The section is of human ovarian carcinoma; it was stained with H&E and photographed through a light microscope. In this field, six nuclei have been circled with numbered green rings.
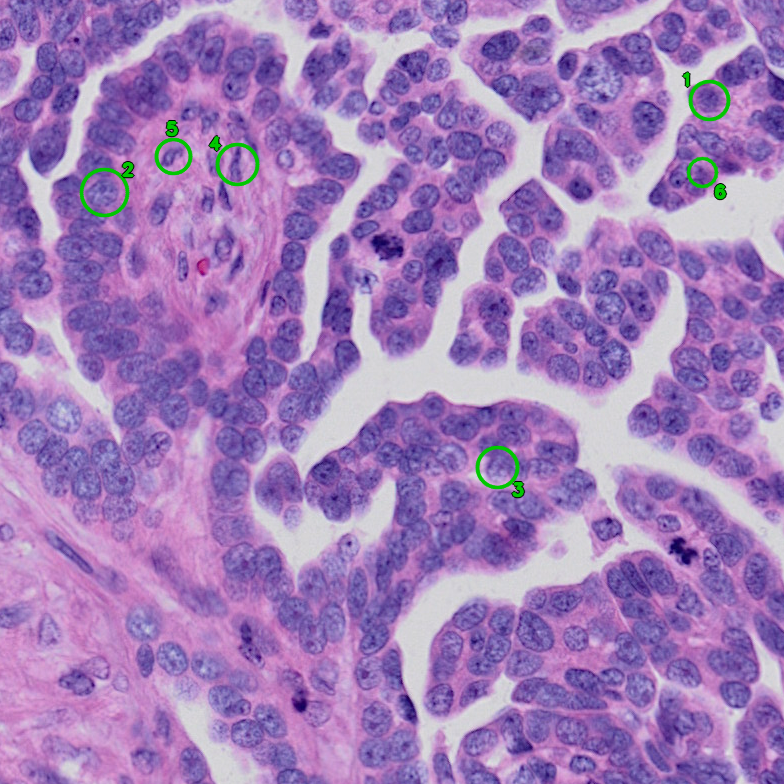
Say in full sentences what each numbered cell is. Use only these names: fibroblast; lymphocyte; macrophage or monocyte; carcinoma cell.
Cell 1 is a carcinoma cell, cell 2 is a carcinoma cell, cell 3 is a carcinoma cell, cell 4 is a fibroblast, cell 5 is a fibroblast and cell 6 is a carcinoma cell.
